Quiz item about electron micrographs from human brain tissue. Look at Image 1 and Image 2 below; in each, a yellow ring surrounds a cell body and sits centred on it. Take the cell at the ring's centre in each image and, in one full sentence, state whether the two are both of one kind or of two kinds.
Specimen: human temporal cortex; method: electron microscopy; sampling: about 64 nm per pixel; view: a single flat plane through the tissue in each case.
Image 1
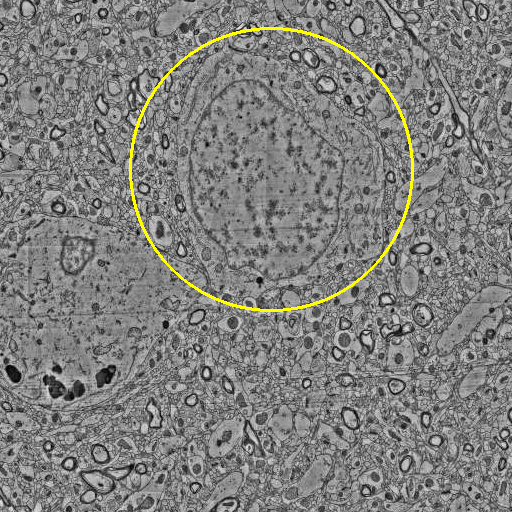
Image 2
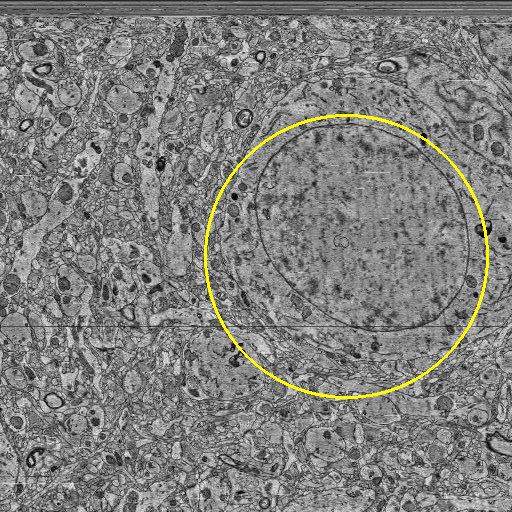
In Image 1 and Image 2, the cells at the ring centres are of two kinds.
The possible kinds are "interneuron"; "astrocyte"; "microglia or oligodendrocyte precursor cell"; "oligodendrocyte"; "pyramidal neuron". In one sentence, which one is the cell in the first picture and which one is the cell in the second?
The cell ringed in the second picture is a pyramidal neuron, whereas the one ringed in the first is an interneuron.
